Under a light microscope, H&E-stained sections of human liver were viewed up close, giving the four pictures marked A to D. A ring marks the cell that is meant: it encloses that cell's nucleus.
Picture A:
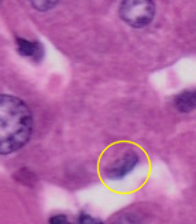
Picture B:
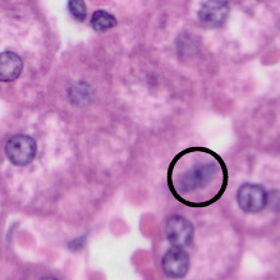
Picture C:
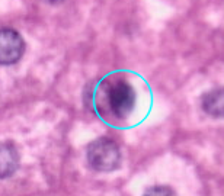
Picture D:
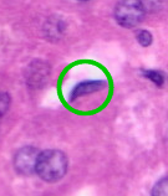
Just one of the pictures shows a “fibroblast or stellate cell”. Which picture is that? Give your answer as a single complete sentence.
The picture with the “fibroblast or stellate cell” is B.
